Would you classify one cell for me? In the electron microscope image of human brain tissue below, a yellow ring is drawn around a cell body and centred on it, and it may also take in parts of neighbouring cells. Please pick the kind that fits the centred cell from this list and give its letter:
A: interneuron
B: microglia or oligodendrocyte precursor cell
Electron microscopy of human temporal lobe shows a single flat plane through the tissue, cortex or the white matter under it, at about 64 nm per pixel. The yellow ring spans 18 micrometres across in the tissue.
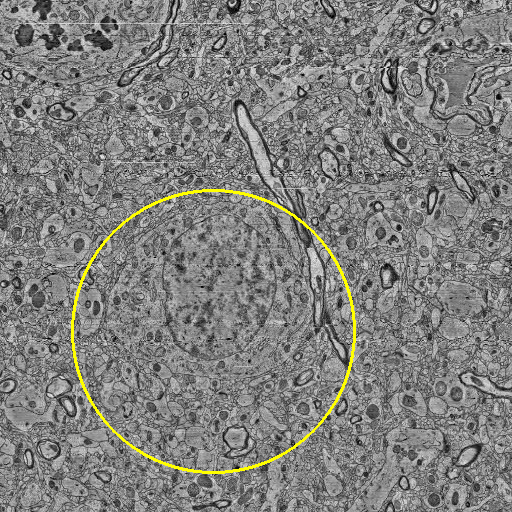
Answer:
A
